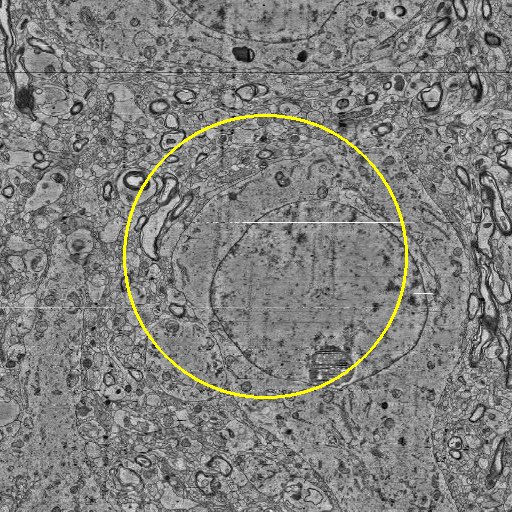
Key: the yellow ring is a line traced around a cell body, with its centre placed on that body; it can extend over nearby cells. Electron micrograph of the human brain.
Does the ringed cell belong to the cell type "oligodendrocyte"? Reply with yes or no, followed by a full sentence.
No, the cell at the centre of the yellow ring in the picture is of another type.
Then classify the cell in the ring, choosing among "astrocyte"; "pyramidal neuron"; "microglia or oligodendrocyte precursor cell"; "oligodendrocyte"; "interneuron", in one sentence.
The ring holds a pyramidal neuron at its centre.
